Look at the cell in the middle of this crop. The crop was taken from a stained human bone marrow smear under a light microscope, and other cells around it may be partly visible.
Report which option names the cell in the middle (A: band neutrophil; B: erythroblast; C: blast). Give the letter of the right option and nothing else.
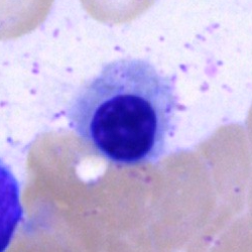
B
